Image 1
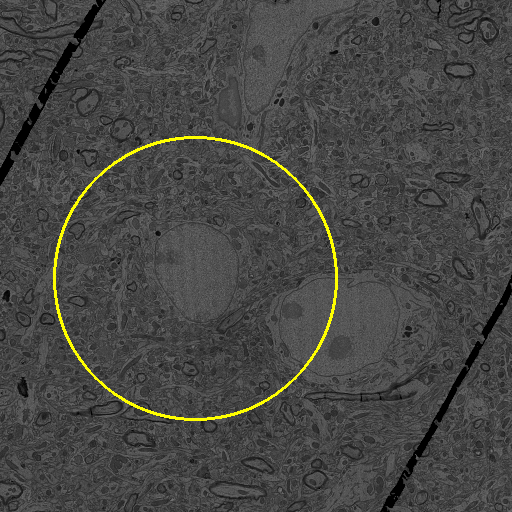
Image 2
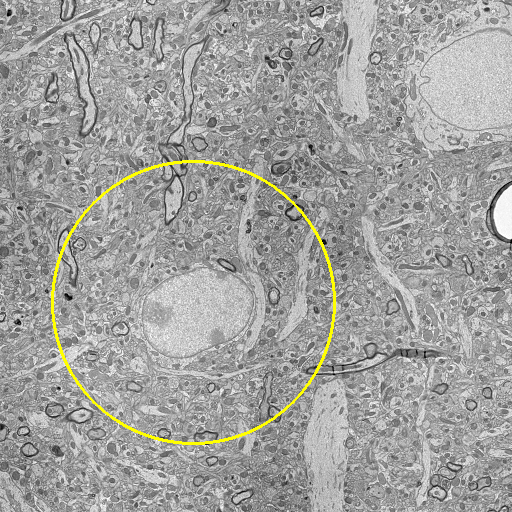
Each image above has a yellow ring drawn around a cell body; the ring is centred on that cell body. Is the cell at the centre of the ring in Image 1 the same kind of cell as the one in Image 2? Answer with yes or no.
yes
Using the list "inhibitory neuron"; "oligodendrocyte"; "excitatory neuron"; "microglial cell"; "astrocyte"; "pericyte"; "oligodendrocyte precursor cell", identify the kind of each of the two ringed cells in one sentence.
Each cell at the centre of a ring is an astrocyte.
